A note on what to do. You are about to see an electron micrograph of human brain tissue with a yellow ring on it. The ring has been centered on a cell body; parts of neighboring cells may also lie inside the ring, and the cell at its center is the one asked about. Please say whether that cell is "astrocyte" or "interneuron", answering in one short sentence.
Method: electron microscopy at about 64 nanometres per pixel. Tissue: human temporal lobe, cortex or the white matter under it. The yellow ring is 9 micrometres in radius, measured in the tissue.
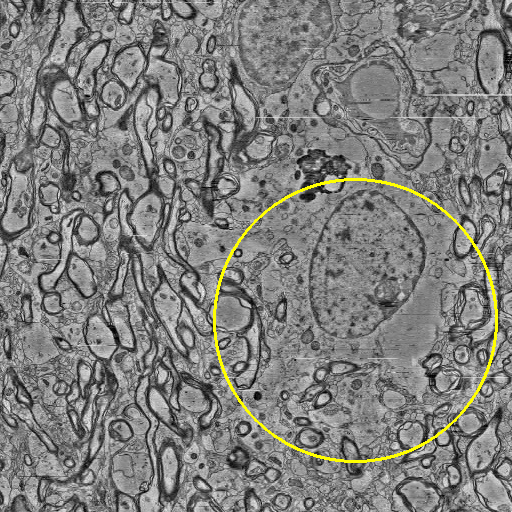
The yellow ring sits on an astrocyte.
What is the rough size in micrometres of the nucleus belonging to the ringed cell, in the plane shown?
The nucleus is approximately 10 micrometers long by 7 micrometers wide in this plane.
